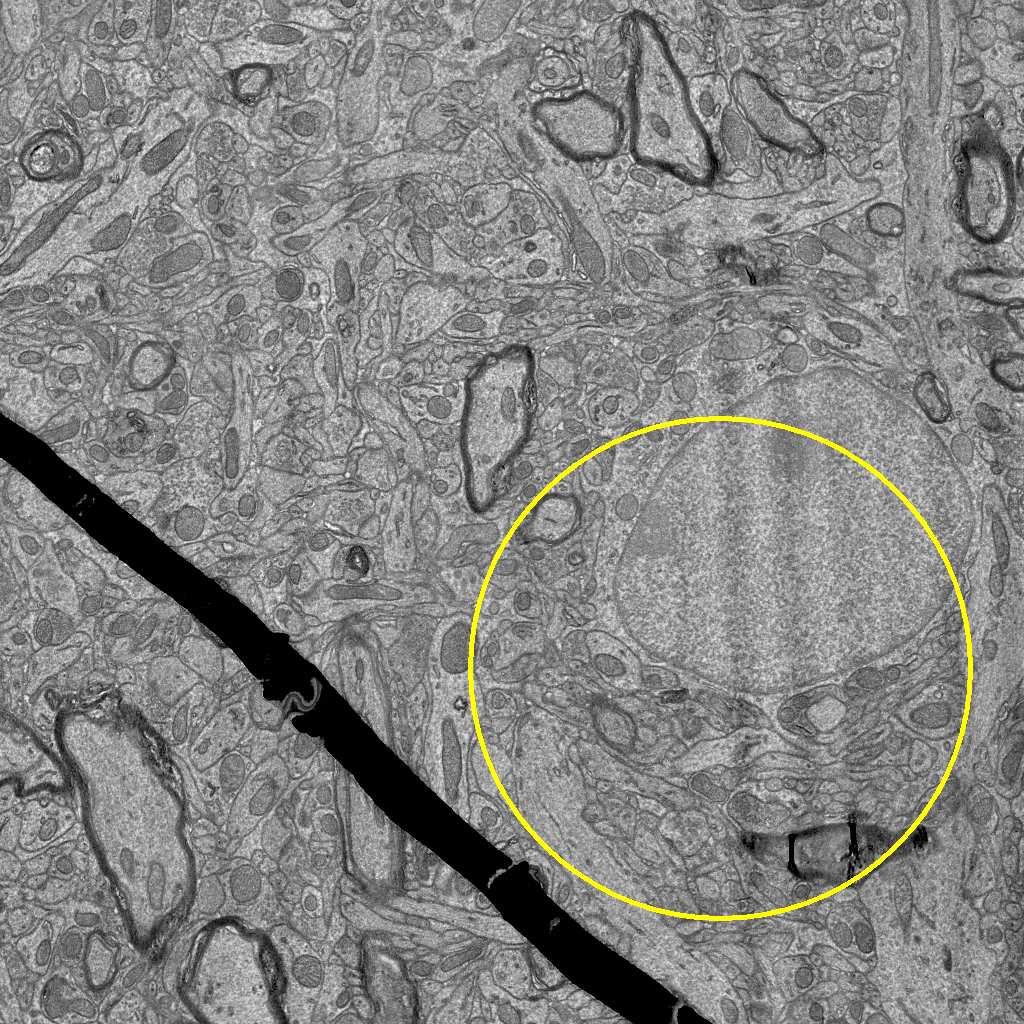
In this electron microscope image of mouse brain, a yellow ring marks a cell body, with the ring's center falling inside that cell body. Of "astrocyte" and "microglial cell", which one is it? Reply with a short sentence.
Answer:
It is an astrocyte at the center of the ring.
